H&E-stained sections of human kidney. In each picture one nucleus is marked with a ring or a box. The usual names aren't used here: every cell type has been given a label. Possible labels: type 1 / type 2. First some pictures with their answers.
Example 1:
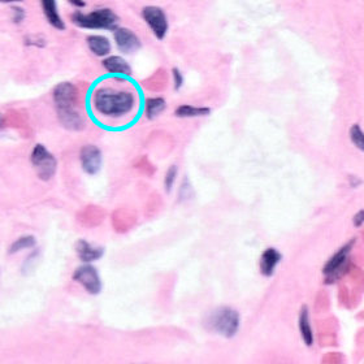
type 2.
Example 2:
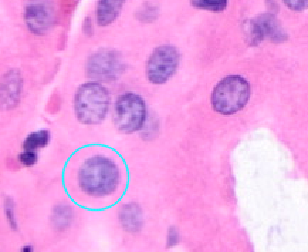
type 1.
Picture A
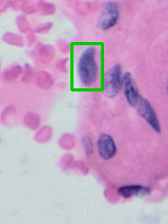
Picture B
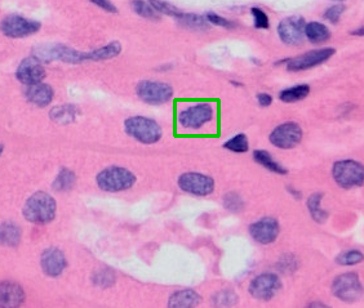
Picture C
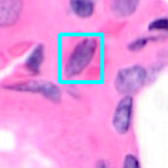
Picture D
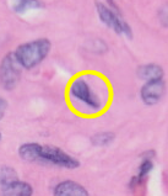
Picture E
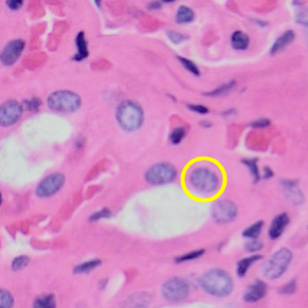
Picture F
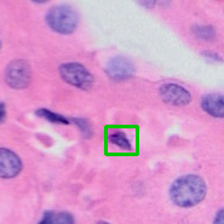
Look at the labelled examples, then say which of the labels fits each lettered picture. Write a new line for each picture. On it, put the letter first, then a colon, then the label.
A: type 2.
B: type 1.
C: type 2.
D: type 2.
E: type 1.
F: type 2.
